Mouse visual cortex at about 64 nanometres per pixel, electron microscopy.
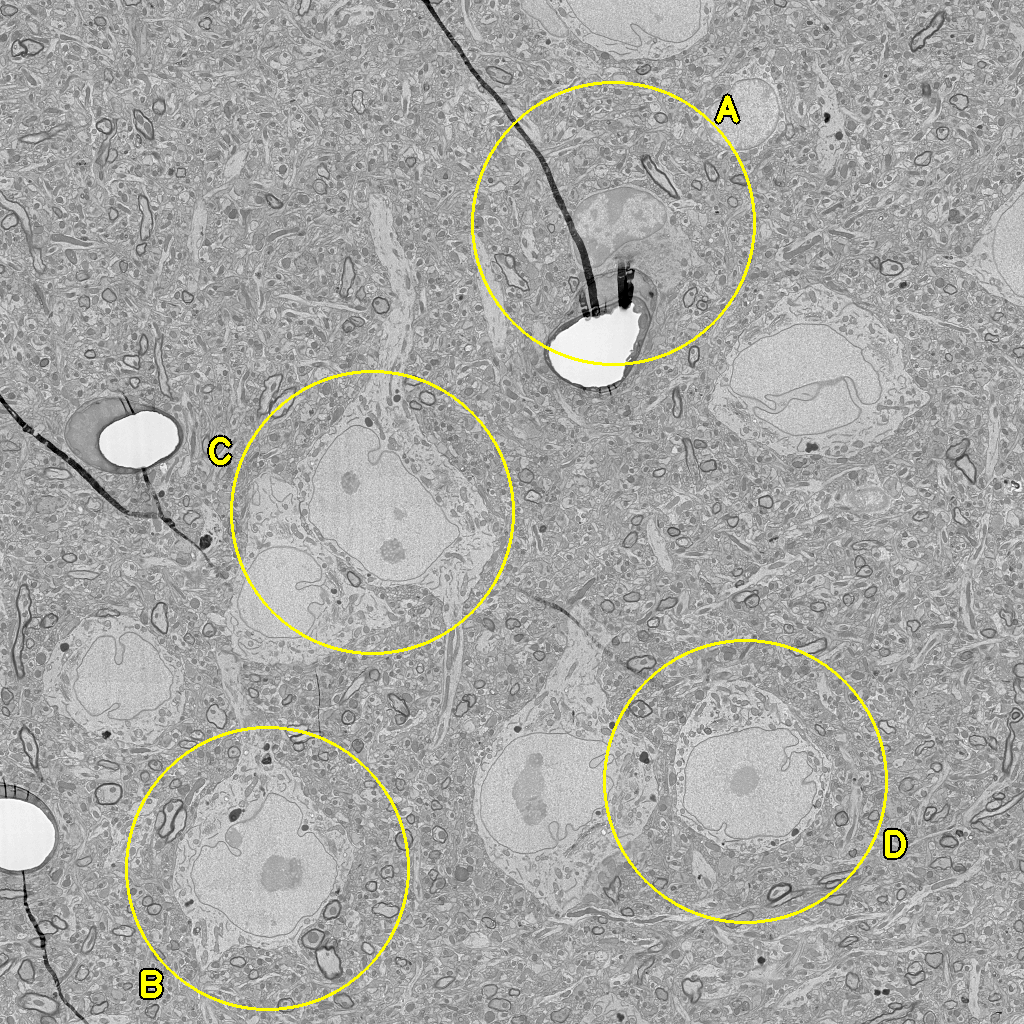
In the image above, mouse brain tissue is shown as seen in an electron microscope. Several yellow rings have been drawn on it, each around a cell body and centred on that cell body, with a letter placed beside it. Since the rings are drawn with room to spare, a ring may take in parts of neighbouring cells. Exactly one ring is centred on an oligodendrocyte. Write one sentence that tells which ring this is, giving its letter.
The ring marked A is centred on it.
